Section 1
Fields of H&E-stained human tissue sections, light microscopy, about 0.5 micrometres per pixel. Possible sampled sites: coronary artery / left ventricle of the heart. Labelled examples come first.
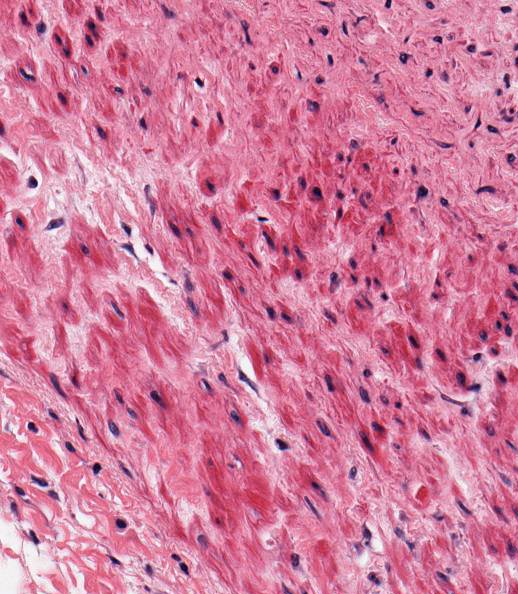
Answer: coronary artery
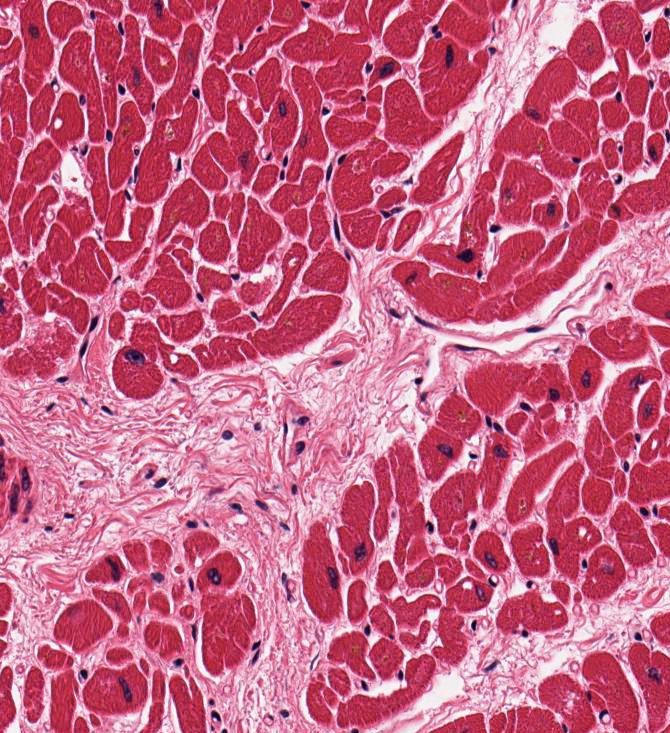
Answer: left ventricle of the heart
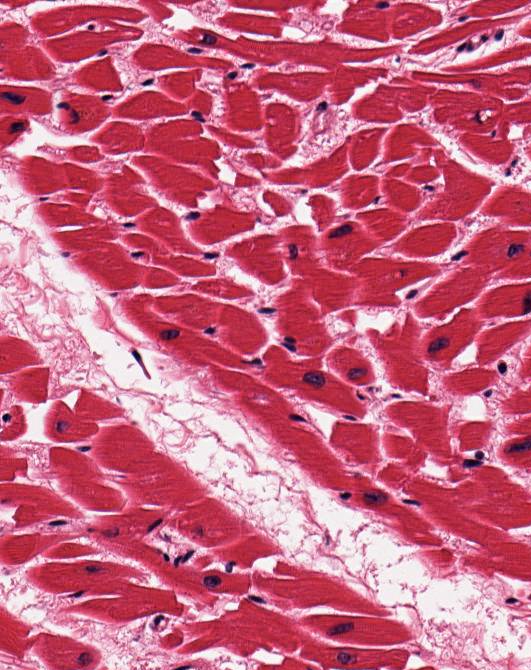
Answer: left ventricle of the heart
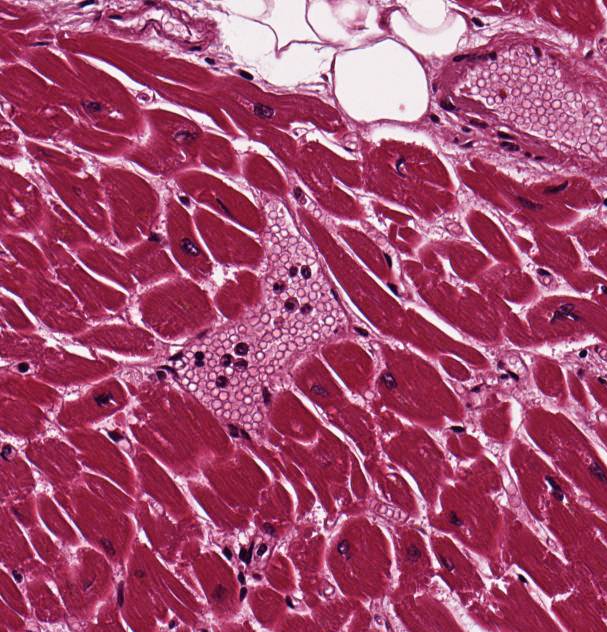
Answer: left ventricle of the heart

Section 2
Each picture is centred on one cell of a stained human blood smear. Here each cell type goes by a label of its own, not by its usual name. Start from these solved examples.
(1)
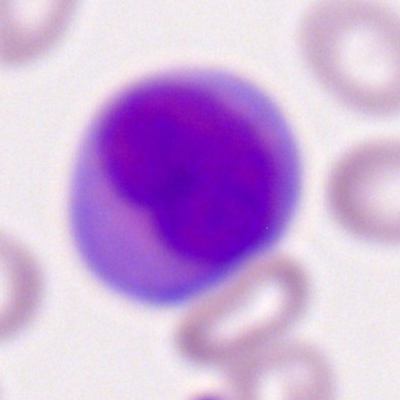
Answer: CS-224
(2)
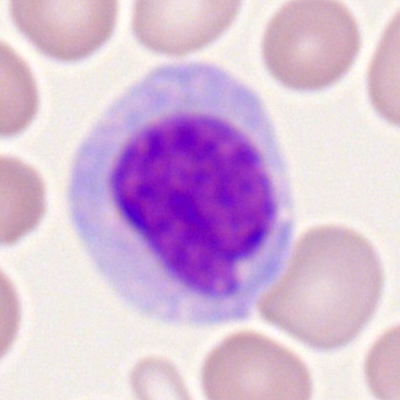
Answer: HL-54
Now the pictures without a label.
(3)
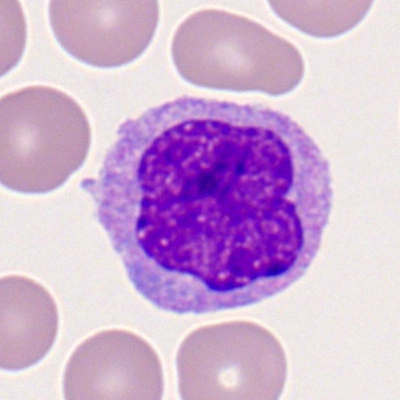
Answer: HL-54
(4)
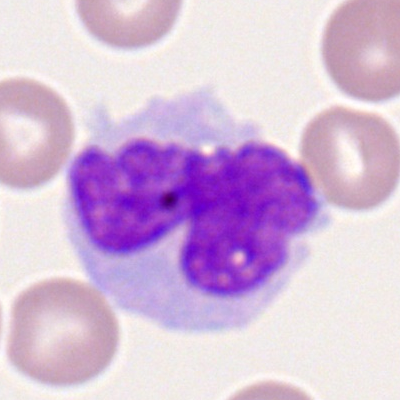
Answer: HL-54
